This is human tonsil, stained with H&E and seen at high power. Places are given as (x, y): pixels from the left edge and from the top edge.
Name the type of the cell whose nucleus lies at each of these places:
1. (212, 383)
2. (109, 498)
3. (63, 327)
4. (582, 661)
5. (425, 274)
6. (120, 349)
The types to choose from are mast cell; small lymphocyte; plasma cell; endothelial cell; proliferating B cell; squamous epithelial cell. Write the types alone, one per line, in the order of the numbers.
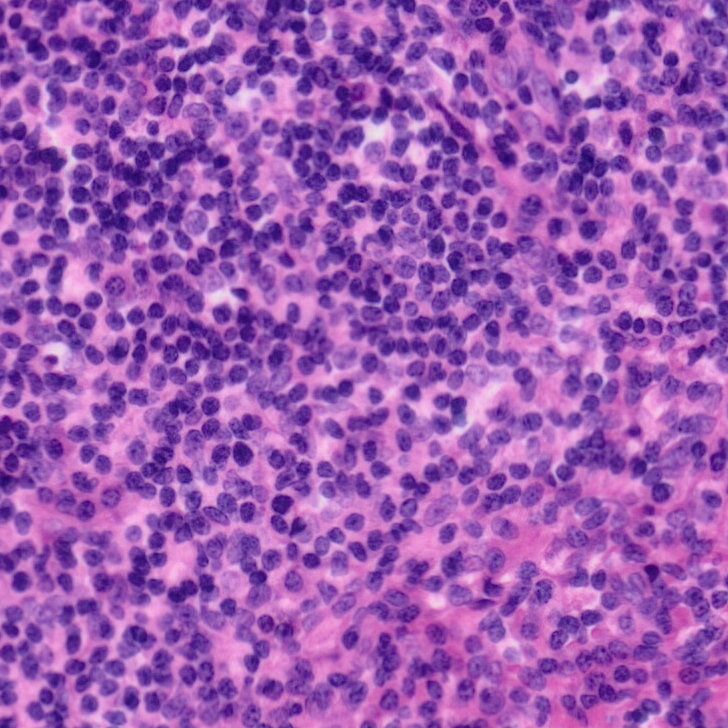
small lymphocyte
plasma cell
small lymphocyte
plasma cell
small lymphocyte
small lymphocyte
